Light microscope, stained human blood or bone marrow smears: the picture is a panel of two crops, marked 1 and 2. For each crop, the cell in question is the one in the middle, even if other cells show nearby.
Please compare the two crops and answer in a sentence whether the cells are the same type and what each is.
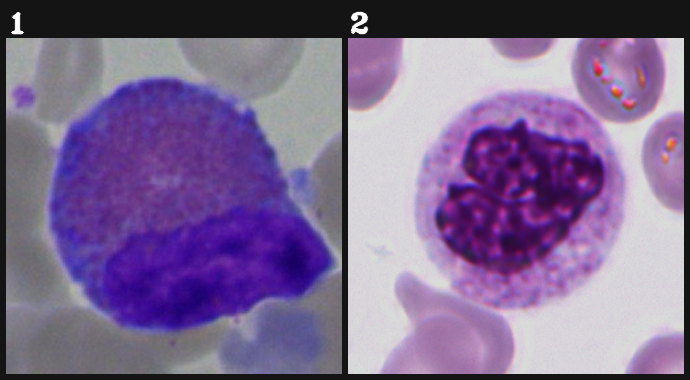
No, crop 1 contains an eosinophil; a band neutrophil is what crop 2 contains.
